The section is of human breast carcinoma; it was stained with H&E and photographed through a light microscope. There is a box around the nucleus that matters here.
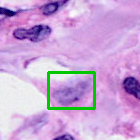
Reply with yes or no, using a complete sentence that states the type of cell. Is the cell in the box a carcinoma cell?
No, it is not a carcinoma cell but a fibroblast that the cell in the box represents.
